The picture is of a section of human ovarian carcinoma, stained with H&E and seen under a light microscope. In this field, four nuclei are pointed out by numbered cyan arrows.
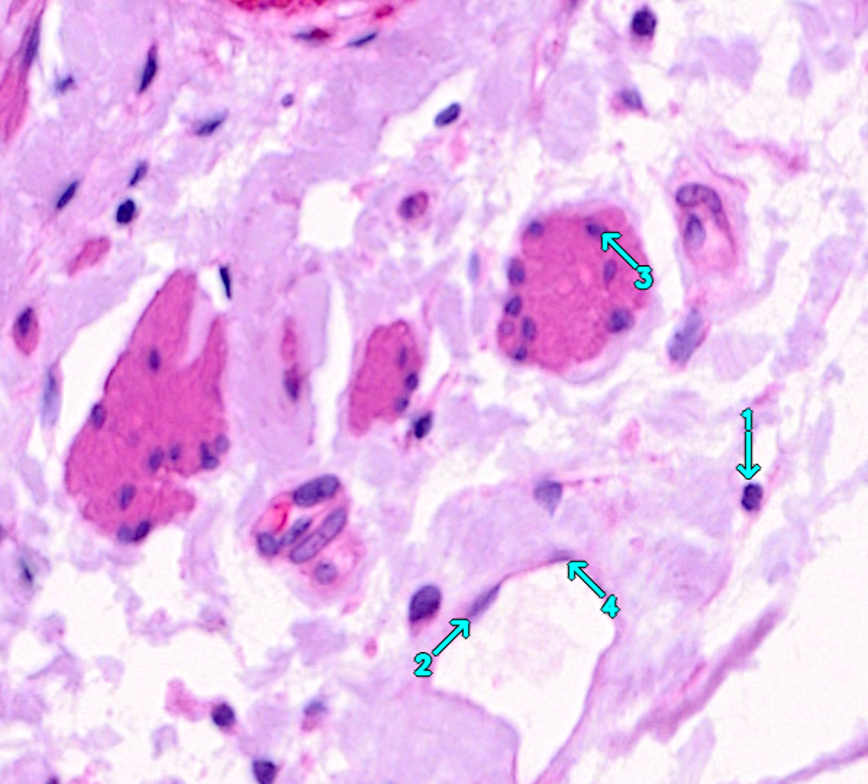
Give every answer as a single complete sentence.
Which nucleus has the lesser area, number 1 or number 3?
Nucleus 3 covers less area, with nucleus 1 about 2 times as large.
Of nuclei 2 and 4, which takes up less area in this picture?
It is nucleus 4; nucleus 2 has about 2 times its area.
